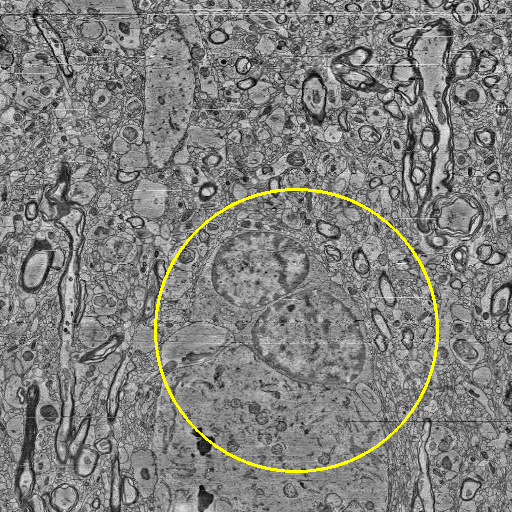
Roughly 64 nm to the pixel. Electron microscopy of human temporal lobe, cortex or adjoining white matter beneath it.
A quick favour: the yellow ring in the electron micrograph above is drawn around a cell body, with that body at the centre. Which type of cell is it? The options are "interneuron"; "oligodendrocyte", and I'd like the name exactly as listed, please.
oligodendrocyte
